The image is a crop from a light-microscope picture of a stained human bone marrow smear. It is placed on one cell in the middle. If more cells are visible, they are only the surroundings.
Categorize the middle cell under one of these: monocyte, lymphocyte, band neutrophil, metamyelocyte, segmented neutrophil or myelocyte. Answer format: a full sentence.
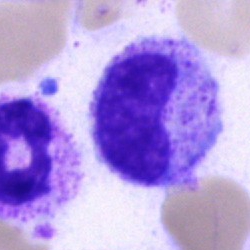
Looking at the middle of the crop, the cell there is a metamyelocyte.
